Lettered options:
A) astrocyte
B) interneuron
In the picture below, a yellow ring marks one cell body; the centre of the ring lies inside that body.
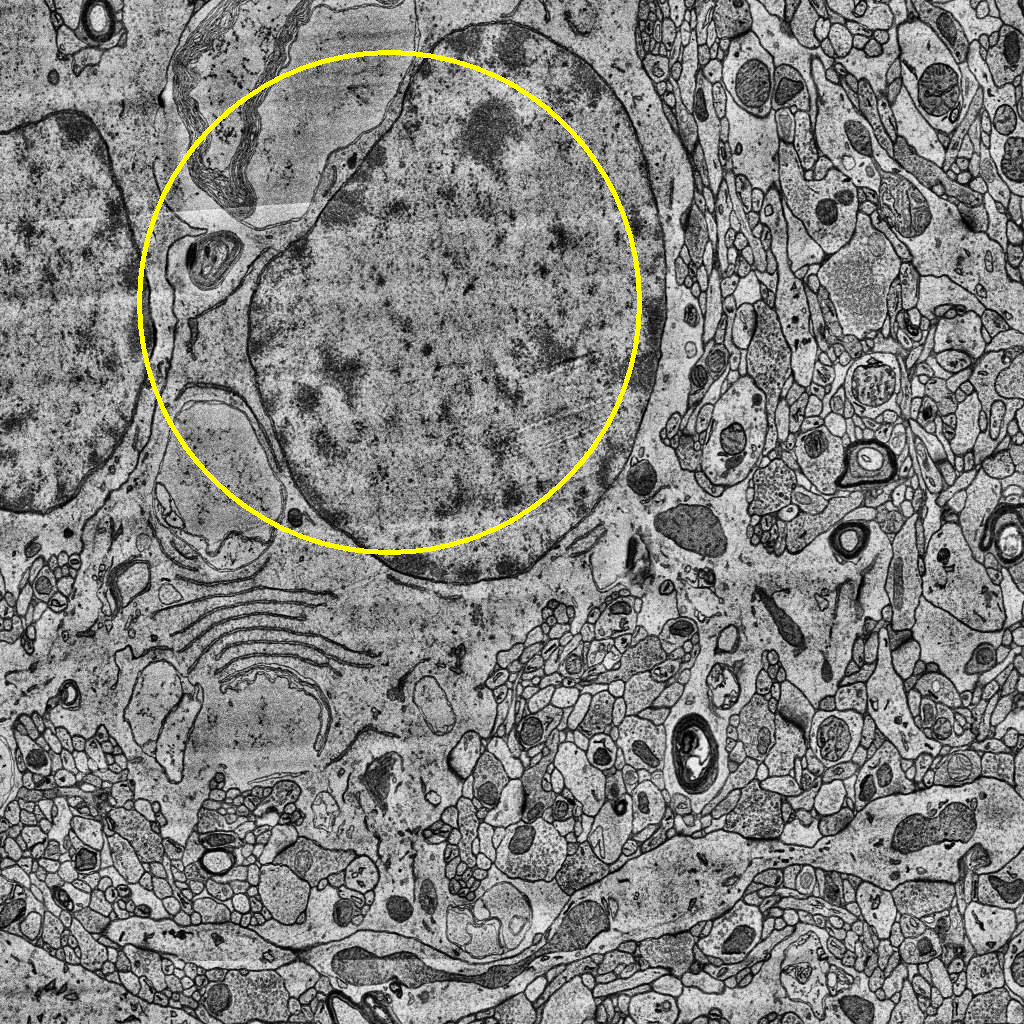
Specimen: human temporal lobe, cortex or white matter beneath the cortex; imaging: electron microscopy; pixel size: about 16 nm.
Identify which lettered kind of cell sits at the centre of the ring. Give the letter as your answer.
A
